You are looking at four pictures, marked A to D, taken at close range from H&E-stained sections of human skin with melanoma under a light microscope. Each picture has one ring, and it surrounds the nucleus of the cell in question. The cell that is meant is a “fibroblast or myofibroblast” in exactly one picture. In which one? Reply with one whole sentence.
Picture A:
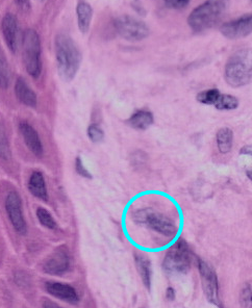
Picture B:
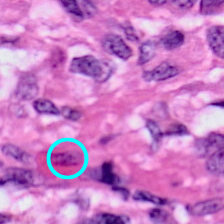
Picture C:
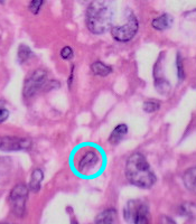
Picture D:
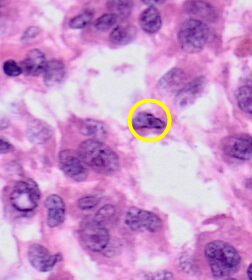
Picture A is the one that shows the “fibroblast or myofibroblast”.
